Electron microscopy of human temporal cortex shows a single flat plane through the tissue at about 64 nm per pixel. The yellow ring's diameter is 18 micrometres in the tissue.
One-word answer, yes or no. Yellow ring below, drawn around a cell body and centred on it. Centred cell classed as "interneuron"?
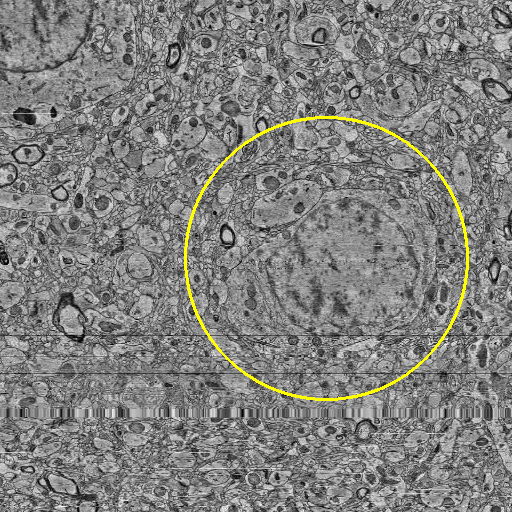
yes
